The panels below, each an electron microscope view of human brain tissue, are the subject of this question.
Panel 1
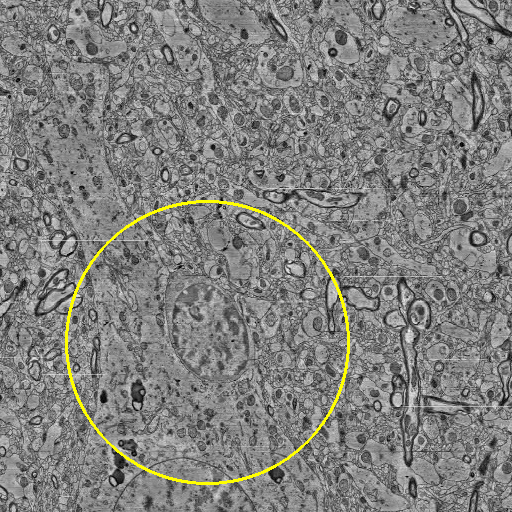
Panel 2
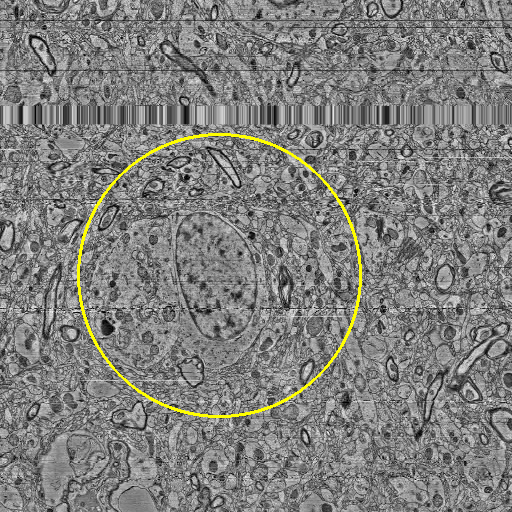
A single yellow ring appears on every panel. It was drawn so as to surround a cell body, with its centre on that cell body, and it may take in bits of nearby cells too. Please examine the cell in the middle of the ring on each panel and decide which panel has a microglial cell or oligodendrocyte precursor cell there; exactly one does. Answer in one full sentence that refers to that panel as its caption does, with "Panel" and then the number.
Panel 2 is where the ring's central cell answers the question.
